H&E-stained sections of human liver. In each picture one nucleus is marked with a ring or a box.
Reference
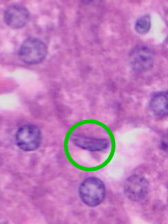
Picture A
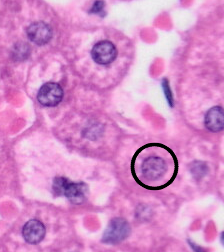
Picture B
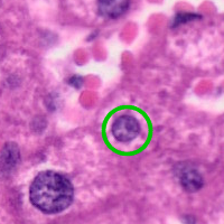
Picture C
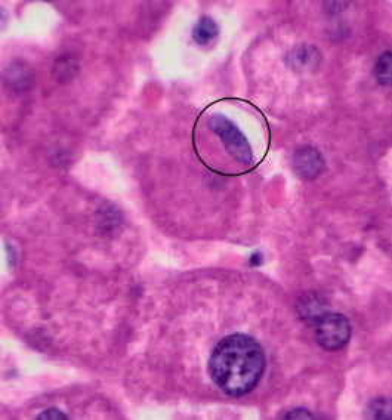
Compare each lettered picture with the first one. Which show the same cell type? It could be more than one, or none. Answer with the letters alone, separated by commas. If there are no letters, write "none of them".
C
